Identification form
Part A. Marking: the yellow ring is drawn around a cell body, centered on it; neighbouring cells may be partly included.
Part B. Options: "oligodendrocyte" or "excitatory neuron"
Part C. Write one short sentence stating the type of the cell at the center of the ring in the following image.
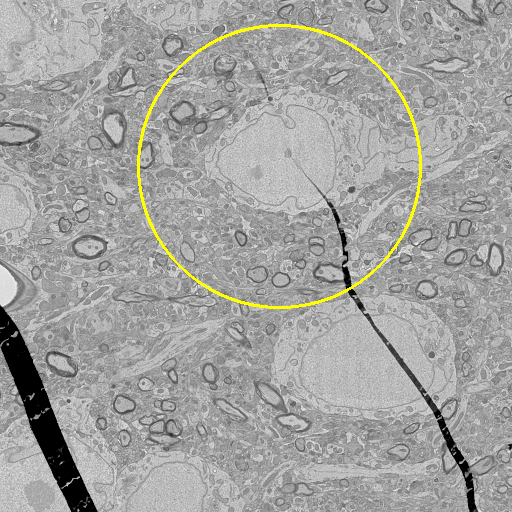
The center of the ring holds an excitatory neuron.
